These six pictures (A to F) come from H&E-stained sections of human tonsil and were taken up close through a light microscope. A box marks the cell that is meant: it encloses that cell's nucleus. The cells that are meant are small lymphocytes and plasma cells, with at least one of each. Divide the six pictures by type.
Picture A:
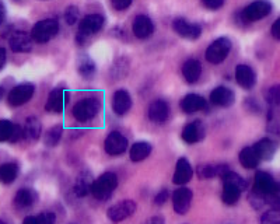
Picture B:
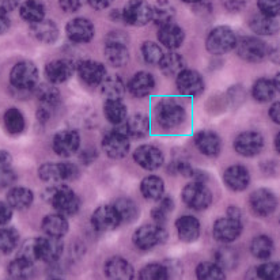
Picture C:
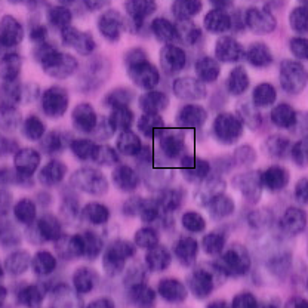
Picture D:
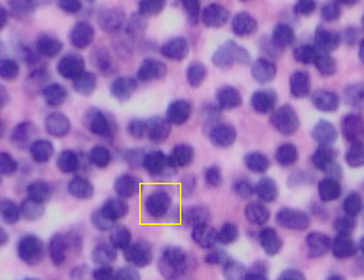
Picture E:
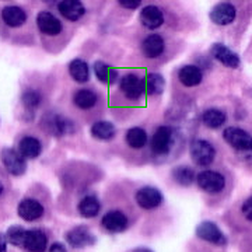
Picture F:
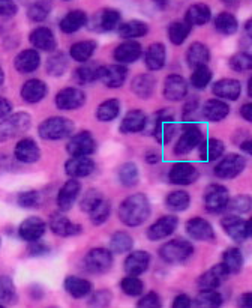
A: plasma cell
B: plasma cell
C: small lymphocyte
D: small lymphocyte
E: plasma cell
F: small lymphocyte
